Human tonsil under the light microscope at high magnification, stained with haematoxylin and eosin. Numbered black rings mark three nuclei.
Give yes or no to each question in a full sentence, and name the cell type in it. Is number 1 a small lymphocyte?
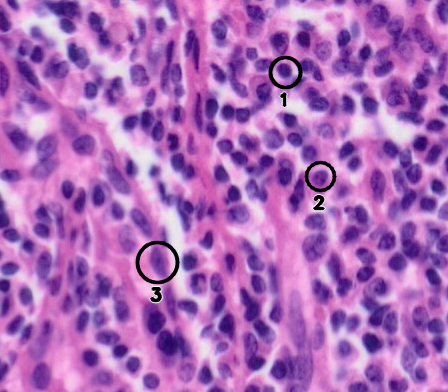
Yes, the cell that the number 1 labels is a small lymphocyte.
